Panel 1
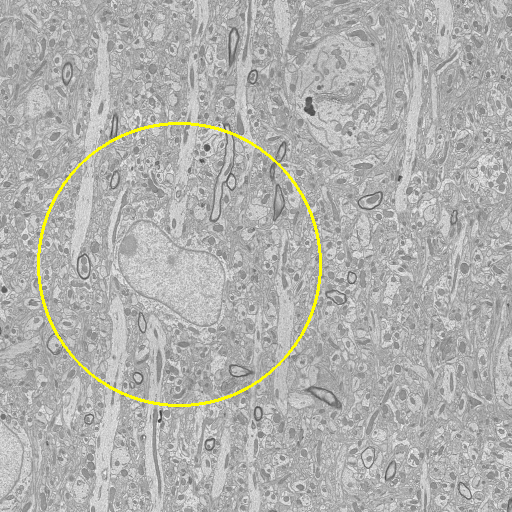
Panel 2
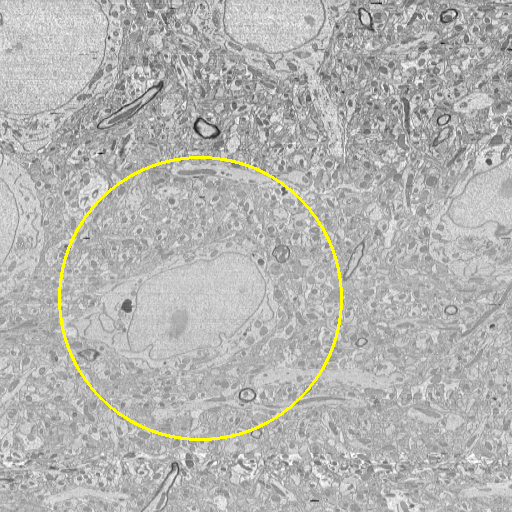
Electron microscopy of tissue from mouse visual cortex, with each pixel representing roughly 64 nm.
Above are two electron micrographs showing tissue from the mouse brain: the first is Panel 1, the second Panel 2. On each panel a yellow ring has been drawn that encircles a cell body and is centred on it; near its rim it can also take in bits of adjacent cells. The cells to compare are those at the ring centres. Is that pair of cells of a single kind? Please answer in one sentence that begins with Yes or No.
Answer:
No, the ring-centred cells of Panel 1 and Panel 2 belong to two kinds.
